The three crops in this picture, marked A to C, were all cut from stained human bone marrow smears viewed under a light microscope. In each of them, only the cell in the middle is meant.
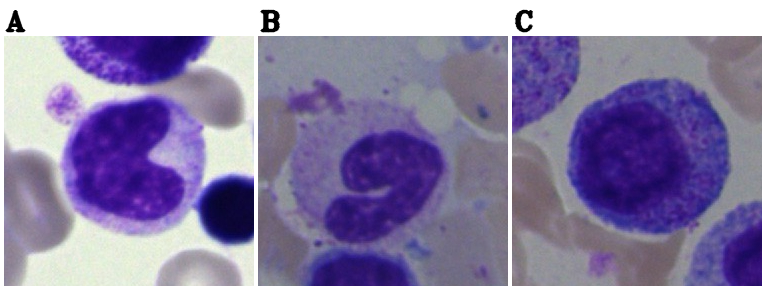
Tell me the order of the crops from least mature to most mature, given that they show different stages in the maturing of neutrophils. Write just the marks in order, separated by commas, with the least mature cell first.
C, A, B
